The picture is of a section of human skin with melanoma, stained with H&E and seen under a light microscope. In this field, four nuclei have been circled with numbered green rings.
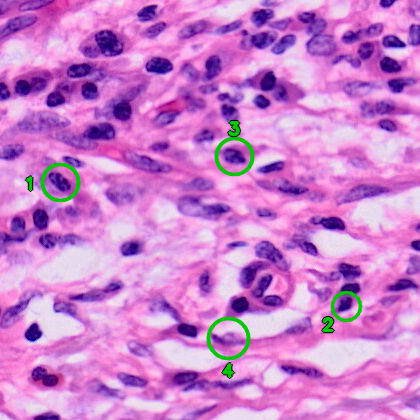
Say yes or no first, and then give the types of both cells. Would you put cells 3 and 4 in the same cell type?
No, cell number 3 is a plasma cell and cell number 4 is a fibroblast or myofibroblast.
